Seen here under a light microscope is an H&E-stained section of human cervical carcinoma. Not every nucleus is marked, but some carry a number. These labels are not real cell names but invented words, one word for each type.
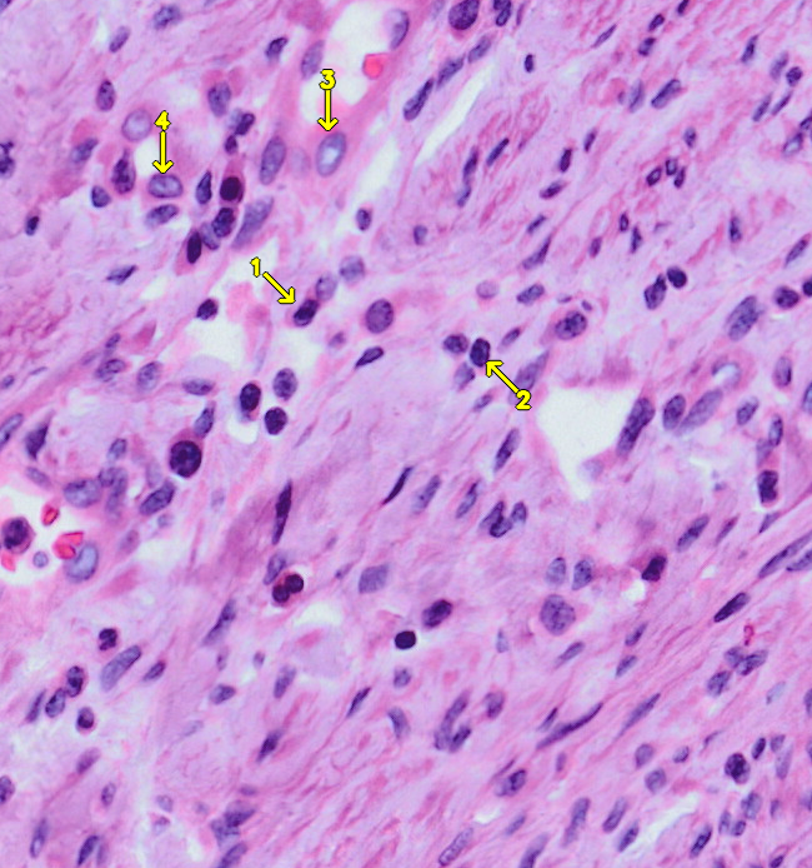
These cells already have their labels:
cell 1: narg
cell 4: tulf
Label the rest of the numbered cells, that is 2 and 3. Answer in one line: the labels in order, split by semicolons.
narg; tulf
